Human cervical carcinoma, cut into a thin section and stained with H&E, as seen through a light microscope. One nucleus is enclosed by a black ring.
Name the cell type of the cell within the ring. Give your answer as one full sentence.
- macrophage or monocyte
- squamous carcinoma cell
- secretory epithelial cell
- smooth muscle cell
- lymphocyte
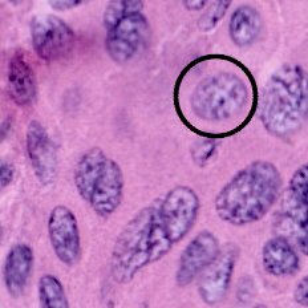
As classified here, the cell within the ring is a squamous carcinoma cell.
